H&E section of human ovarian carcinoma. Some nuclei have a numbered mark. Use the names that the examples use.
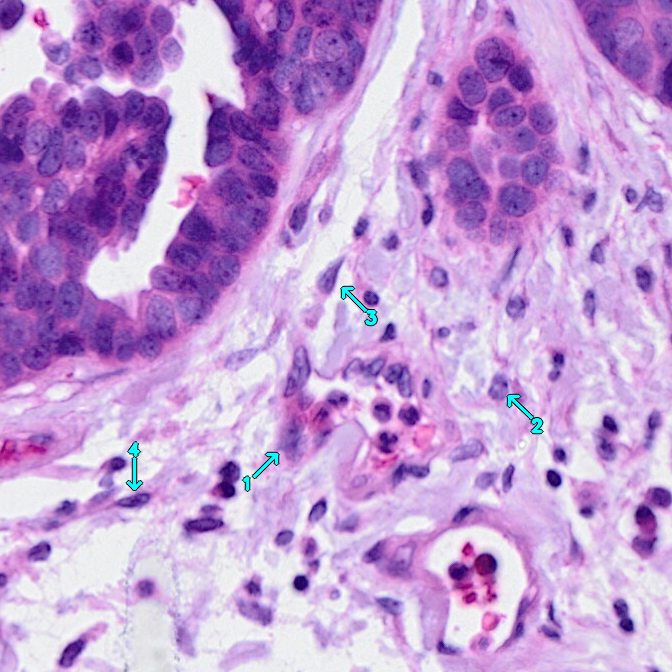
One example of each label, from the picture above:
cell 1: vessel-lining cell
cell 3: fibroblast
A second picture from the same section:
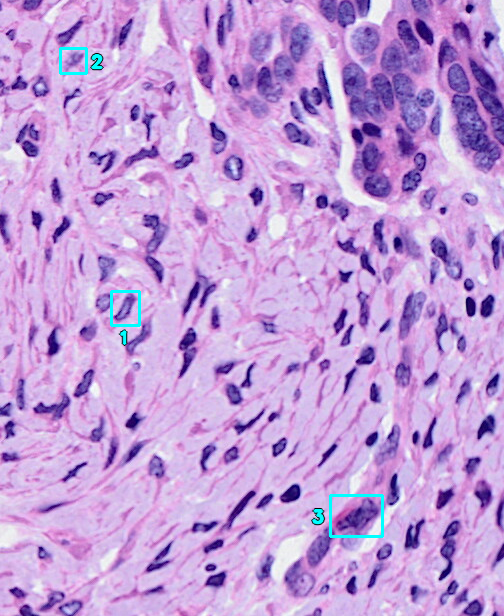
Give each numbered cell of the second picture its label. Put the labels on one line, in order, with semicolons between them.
fibroblast; fibroblast; vessel-lining cell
